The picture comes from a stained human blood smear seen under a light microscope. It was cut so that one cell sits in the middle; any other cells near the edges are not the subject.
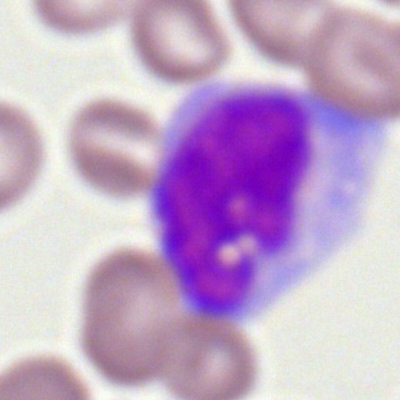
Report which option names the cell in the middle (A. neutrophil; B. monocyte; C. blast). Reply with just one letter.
B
